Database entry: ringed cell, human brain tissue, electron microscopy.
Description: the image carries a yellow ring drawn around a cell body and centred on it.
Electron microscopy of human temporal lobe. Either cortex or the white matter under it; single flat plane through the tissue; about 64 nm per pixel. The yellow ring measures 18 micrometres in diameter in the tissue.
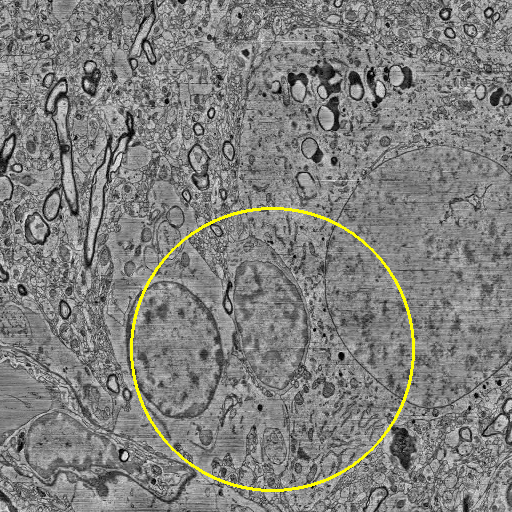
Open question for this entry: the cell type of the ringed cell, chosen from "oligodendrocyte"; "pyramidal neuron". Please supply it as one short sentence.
The ringed cell is an oligodendrocyte.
